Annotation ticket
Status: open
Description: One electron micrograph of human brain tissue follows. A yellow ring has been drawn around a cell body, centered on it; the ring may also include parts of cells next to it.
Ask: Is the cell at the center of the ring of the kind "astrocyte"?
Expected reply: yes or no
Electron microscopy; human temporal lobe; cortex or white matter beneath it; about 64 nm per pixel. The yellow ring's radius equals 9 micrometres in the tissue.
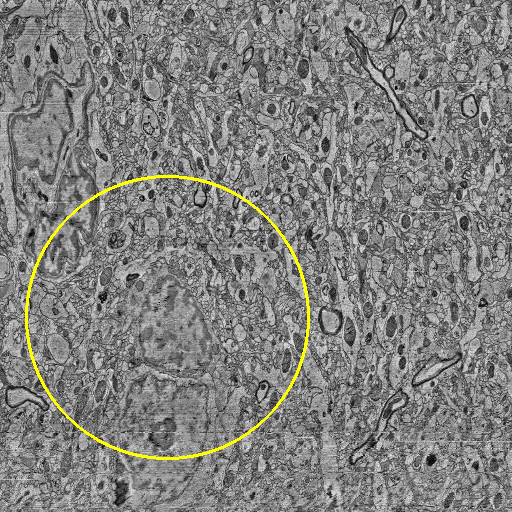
no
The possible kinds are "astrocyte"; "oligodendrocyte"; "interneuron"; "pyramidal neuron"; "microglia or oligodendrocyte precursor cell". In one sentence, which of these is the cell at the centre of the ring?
The correct answer is that the cell is an oligodendrocyte.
